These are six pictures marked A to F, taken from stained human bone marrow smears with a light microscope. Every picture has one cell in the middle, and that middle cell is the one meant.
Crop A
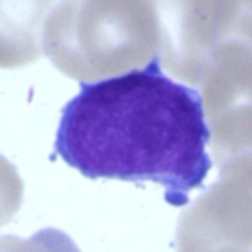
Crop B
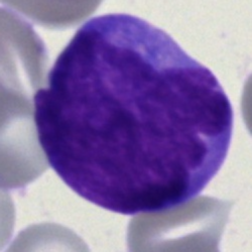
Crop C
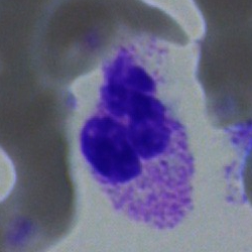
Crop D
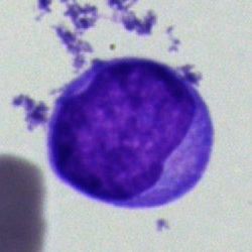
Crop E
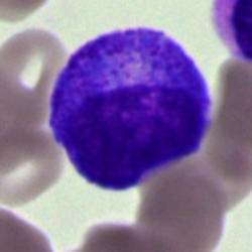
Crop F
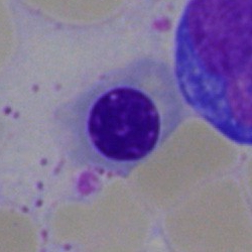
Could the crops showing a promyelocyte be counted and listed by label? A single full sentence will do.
One crop alone shows a promyelocyte, and that is the crop marked E.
